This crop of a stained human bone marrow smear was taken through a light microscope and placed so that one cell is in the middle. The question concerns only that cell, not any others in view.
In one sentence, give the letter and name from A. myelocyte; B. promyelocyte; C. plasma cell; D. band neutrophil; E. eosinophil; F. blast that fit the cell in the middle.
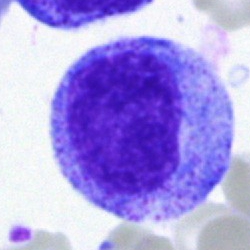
Option B is correct in naming the middle cell a promyelocyte.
